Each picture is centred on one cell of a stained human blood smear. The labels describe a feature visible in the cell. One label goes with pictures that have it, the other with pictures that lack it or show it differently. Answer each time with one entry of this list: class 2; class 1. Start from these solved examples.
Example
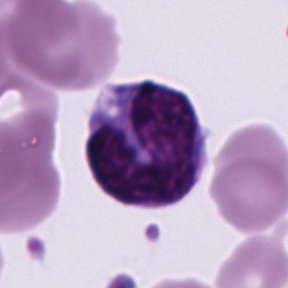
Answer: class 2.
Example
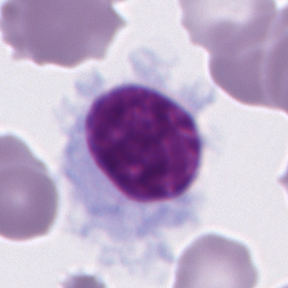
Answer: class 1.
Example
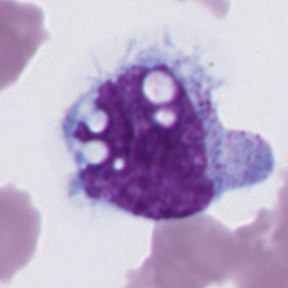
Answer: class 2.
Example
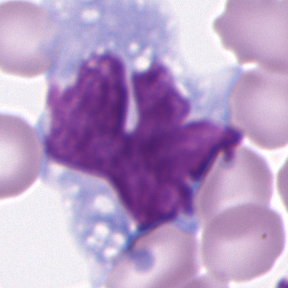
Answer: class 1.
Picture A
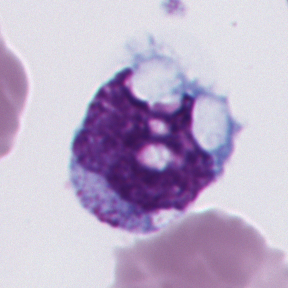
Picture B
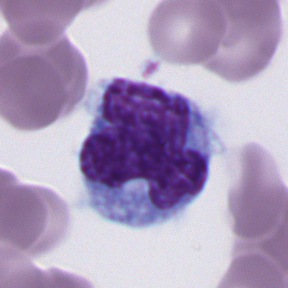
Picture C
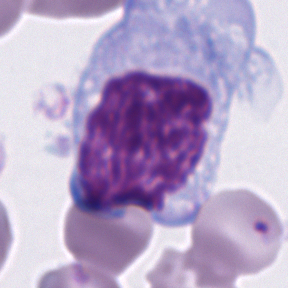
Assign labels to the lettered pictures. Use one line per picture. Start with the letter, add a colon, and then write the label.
A: class 2.
B: class 2.
C: class 1.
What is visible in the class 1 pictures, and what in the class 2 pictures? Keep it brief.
Seen in class 1: abundant cytoplasm; seen in class 2: scant cytoplasm.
